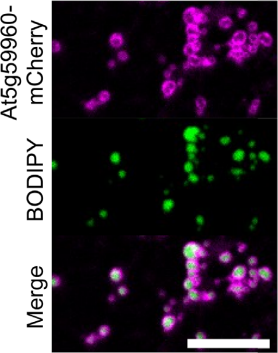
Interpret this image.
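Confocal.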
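Many round bodies of differing size, some clustered, show as magenta rings above and as solid green spheres in the middle image. In the merge each green core is rimmed by magenta.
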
